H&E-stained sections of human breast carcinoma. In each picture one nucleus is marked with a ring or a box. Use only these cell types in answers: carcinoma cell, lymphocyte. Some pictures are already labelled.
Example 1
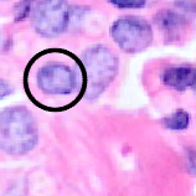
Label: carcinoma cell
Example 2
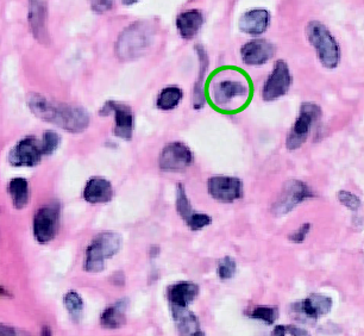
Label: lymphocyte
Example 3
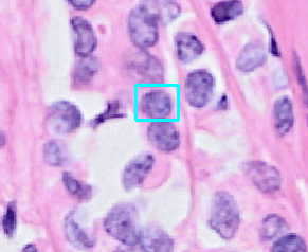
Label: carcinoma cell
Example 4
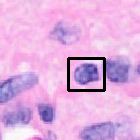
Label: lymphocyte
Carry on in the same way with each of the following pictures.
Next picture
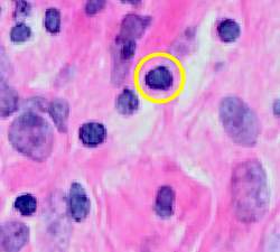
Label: lymphocyte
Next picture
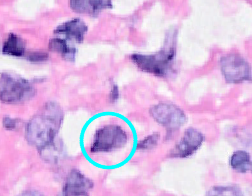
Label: carcinoma cell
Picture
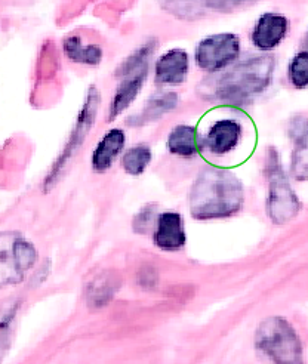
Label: lymphocyte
